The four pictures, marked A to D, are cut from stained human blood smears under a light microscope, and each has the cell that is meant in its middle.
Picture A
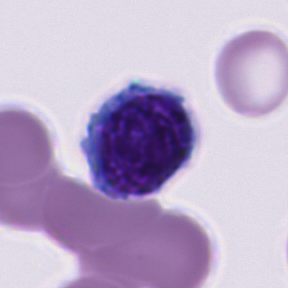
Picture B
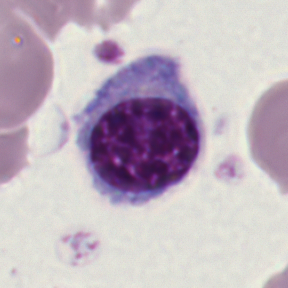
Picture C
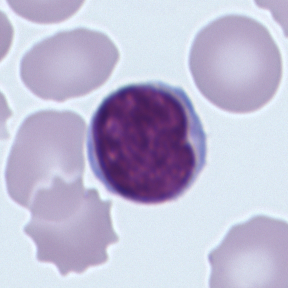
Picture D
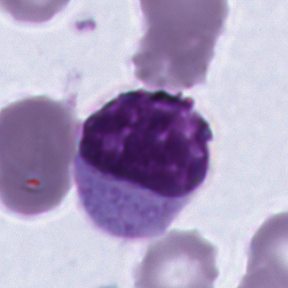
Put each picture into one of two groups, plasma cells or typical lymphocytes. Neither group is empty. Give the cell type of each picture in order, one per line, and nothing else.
plasma cell
plasma cell
typical lymphocyte
plasma cell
